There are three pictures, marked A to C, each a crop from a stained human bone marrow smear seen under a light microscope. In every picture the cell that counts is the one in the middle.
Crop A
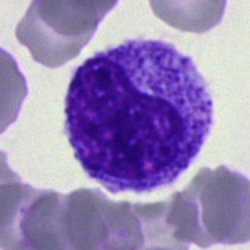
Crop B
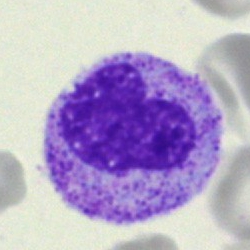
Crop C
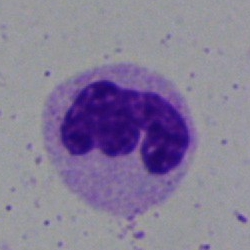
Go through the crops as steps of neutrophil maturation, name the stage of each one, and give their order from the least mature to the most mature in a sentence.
From least to most mature, the cells come in the order crop A (a myelocyte), crop B (a band neutrophil) and crop C (a segmented neutrophil).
